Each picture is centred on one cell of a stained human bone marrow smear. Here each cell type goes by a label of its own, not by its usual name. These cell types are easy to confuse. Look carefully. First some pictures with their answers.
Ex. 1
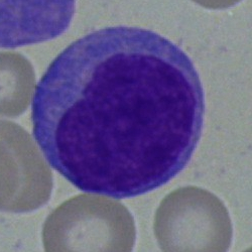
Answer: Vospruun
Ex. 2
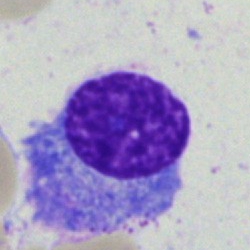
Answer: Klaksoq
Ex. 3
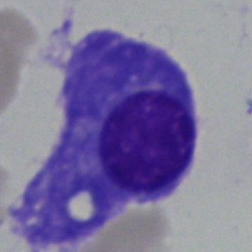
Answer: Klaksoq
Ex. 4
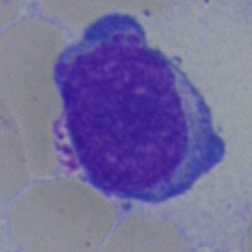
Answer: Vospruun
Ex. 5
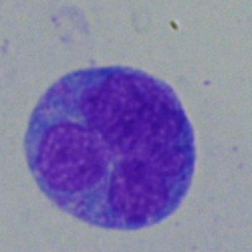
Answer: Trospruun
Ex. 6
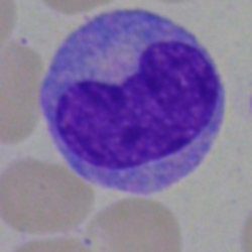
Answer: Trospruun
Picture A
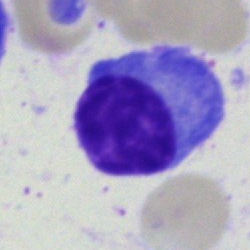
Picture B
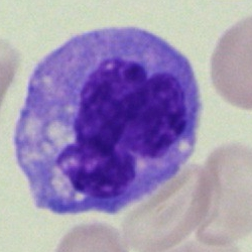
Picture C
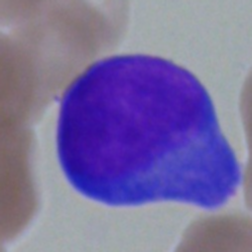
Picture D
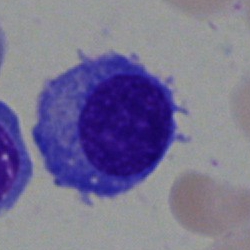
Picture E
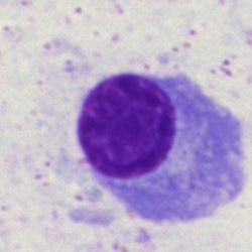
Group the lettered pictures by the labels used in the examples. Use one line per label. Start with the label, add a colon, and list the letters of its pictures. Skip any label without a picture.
Vospruun: C
Klaksoq: A, D, E
Trospruun: B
